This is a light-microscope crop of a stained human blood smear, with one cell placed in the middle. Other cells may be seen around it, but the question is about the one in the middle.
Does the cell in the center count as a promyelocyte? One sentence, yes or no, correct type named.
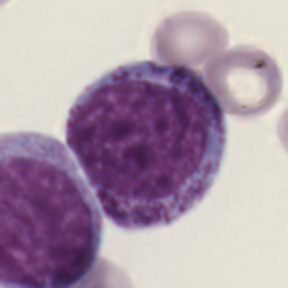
Yes, the cell centred in the field of view is a promyelocyte.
